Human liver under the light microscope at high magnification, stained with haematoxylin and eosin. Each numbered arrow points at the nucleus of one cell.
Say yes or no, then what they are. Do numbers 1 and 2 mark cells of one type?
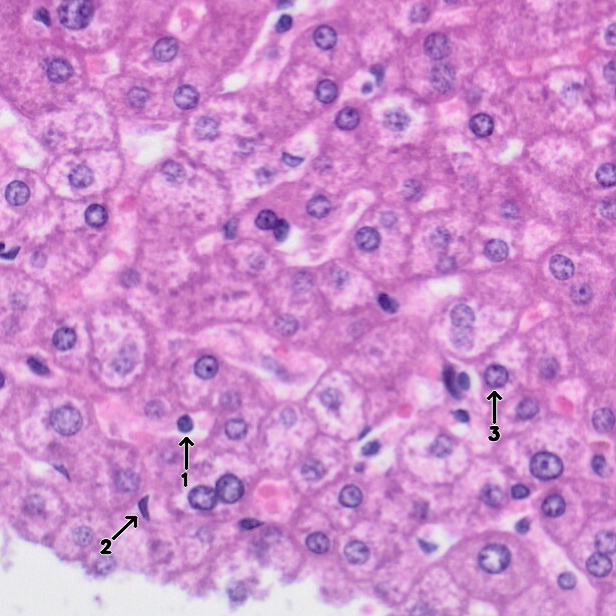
No, cell 1 should be called a lymphocyte, and cell 2 should be called an endothelial cell.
